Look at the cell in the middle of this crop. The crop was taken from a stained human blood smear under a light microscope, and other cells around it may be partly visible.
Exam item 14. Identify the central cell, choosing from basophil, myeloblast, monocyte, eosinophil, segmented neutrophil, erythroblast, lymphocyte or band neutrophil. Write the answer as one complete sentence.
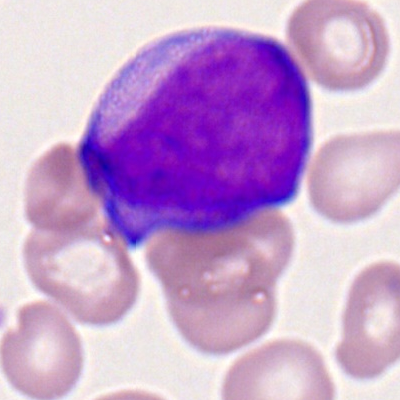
The cell centred in this crop is categorized as a myeloblast.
